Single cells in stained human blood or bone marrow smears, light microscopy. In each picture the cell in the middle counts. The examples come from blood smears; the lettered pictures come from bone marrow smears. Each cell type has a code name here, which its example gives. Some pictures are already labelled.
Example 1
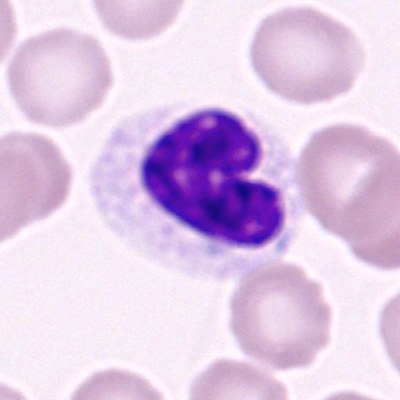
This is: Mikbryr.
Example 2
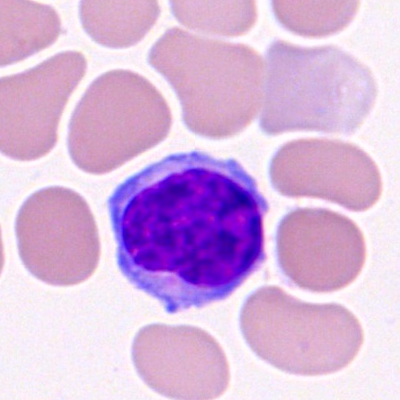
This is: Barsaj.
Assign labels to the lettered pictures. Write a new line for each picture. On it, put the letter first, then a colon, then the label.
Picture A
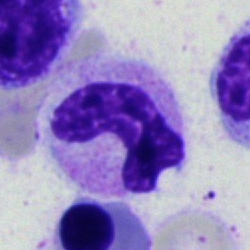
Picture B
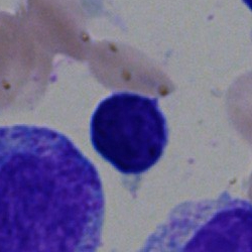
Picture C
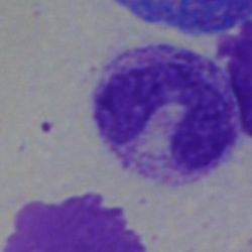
A: Mikbryr.
B: Barsaj.
C: Mikbryr.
